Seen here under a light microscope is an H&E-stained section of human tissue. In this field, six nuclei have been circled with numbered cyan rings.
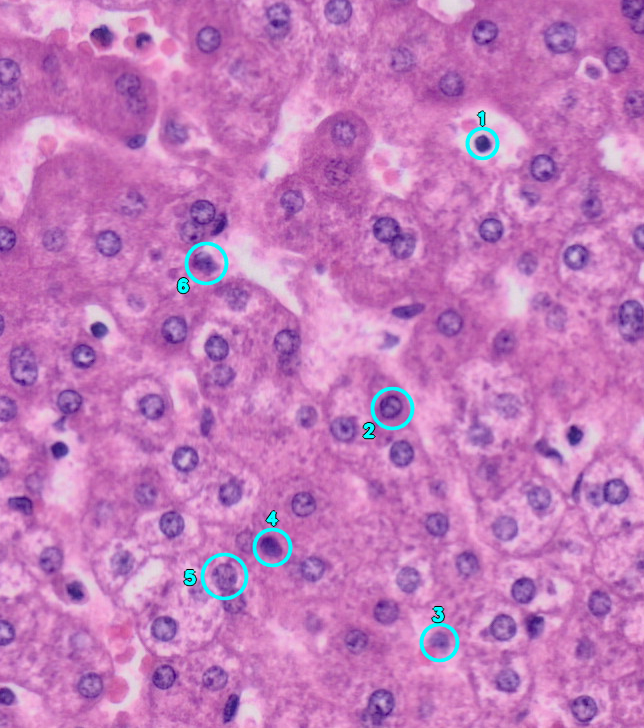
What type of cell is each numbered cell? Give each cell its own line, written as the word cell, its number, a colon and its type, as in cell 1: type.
cell 1: lymphocyte
cell 2: hepatocyte
cell 3: endothelial cell
cell 4: fibroblast or stellate cell
cell 5: hepatocyte
cell 6: endothelial cell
